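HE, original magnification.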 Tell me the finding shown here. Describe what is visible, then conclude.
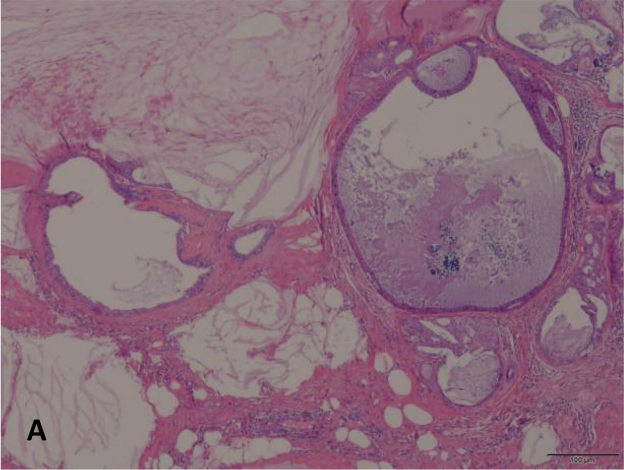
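Pools of this material separate strands of pink fibrous tissue. So: extravasated mucin in the stroma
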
